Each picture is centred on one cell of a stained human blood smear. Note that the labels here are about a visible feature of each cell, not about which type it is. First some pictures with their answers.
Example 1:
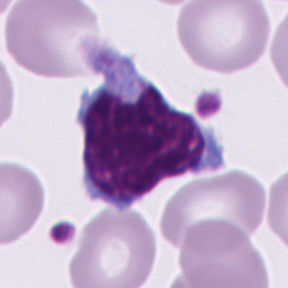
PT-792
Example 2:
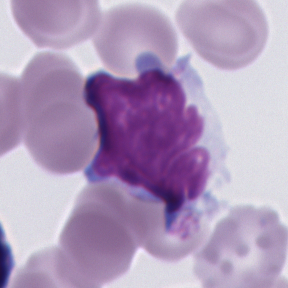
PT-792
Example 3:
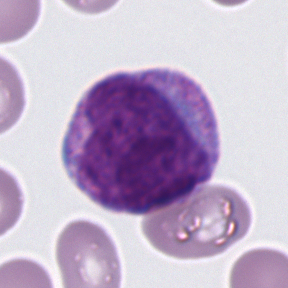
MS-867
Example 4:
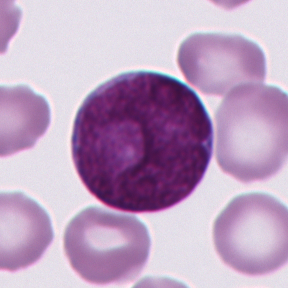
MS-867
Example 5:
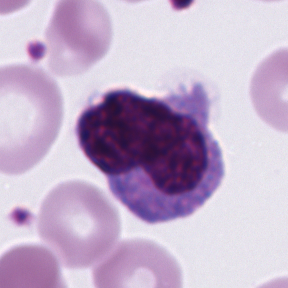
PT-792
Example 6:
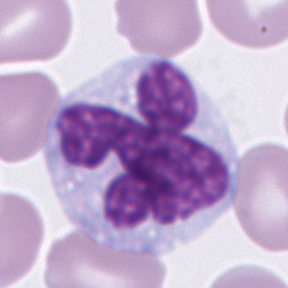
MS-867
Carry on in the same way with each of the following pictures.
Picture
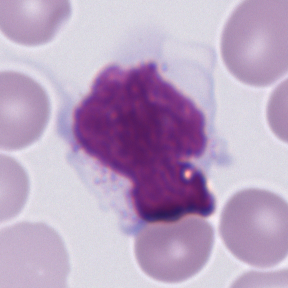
PT-792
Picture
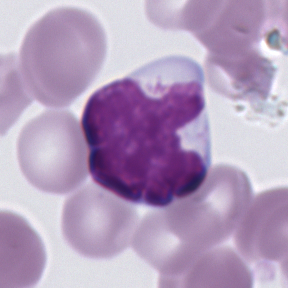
MS-867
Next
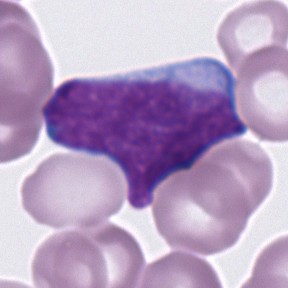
PT-792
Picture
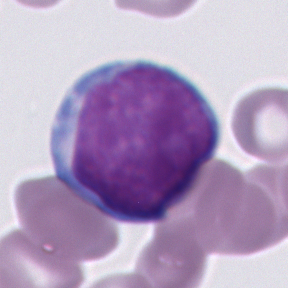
MS-867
